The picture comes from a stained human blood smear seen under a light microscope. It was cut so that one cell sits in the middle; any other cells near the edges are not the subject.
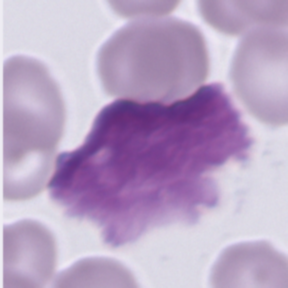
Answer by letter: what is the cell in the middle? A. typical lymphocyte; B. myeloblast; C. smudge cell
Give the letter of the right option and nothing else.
C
